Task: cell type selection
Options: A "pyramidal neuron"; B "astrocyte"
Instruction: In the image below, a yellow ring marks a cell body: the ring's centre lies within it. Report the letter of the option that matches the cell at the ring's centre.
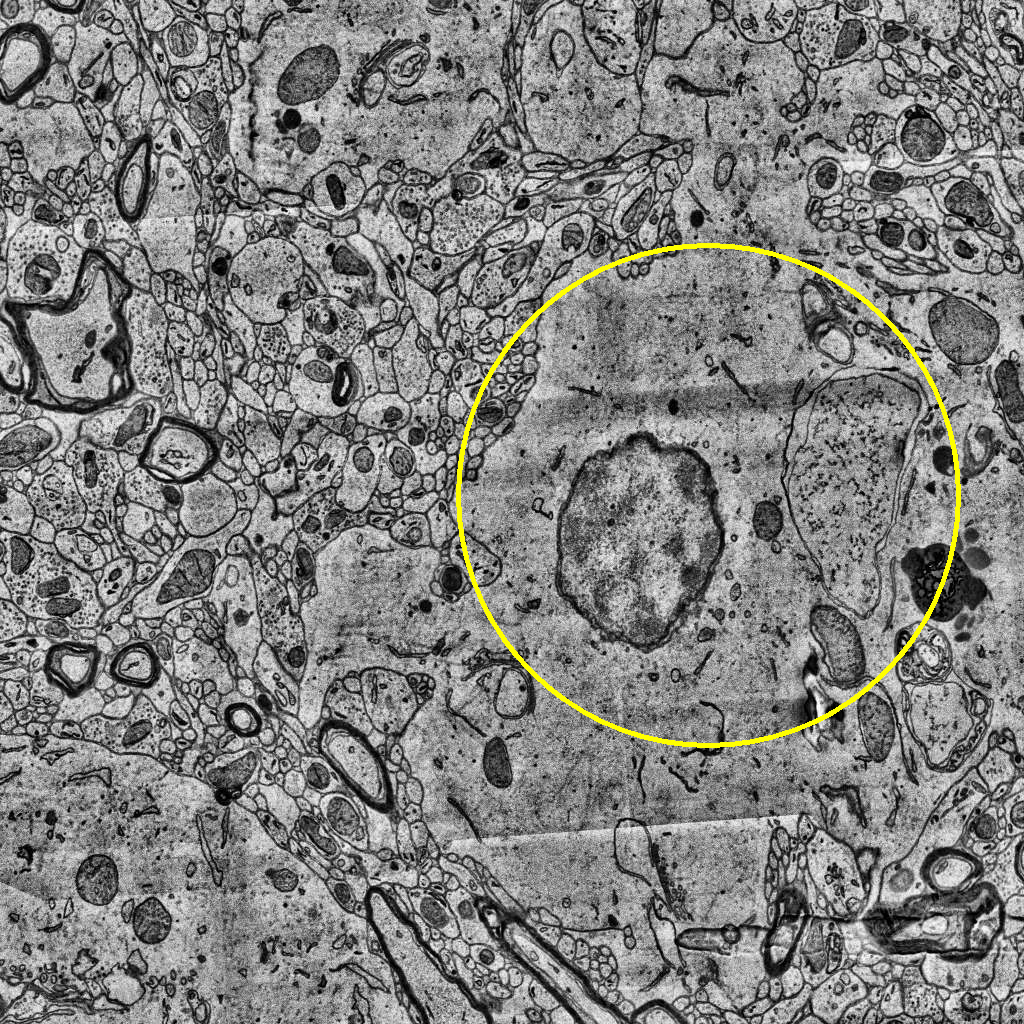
B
